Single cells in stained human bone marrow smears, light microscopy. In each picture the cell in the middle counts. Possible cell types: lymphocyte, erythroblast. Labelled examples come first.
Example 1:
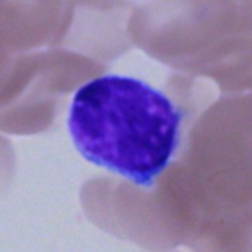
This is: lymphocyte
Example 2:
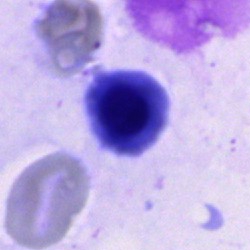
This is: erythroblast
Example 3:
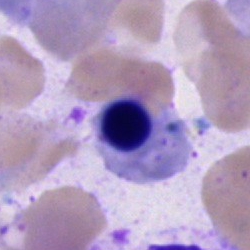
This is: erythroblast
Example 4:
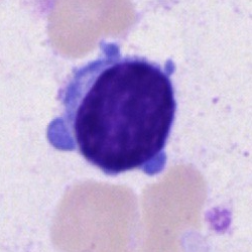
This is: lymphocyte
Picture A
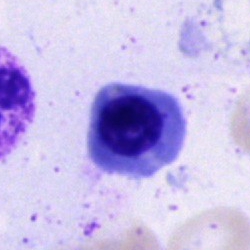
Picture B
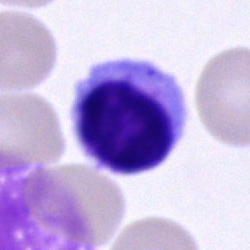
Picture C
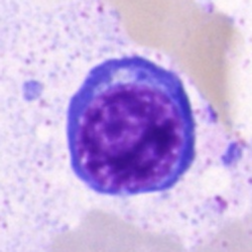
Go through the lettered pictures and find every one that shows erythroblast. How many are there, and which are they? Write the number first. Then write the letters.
2: A, C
